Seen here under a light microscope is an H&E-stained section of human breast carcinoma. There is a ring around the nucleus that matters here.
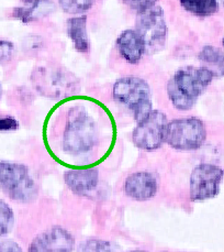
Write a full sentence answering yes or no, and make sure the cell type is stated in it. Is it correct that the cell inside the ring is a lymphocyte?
No, that is wrong: the cell inside the ring is a carcinoma cell, not a lymphocyte.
